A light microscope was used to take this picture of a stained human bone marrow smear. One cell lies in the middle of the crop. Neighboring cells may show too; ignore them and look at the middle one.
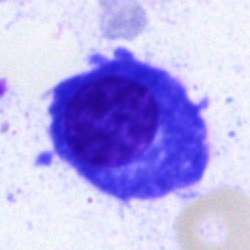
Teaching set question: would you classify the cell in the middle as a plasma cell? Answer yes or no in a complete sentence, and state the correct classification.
Yes, this is a plasma cell, the cell in the middle of the crop.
